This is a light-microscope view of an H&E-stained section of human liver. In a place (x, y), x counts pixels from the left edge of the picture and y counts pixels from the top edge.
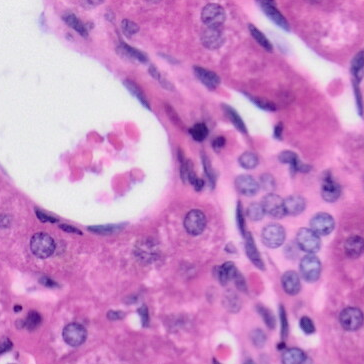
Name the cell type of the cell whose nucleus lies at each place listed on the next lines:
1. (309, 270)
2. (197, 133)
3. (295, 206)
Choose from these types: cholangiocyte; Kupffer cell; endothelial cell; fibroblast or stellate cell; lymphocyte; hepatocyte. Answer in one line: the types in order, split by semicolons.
cholangiocyte; fibroblast or stellate cell; cholangiocyte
